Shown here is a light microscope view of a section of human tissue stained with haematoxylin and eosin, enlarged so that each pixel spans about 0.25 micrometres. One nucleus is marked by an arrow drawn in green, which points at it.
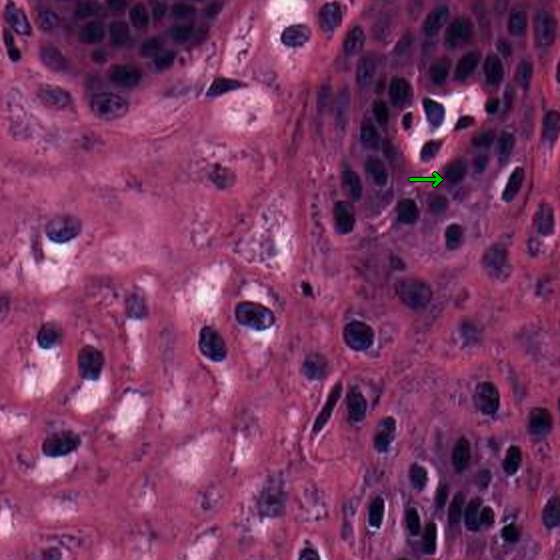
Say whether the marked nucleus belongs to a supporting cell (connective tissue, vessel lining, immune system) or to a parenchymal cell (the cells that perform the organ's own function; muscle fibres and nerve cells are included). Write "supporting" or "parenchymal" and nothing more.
parenchymal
